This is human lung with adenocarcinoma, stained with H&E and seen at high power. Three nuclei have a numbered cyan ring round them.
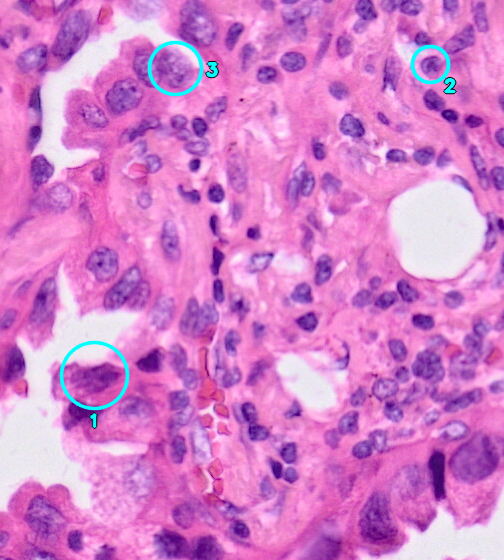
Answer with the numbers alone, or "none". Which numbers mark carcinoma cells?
1, 3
